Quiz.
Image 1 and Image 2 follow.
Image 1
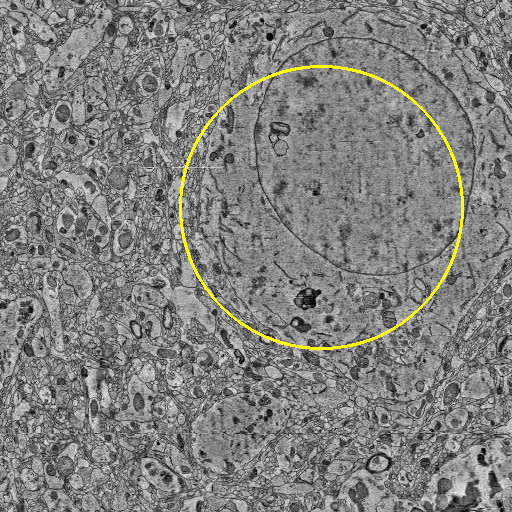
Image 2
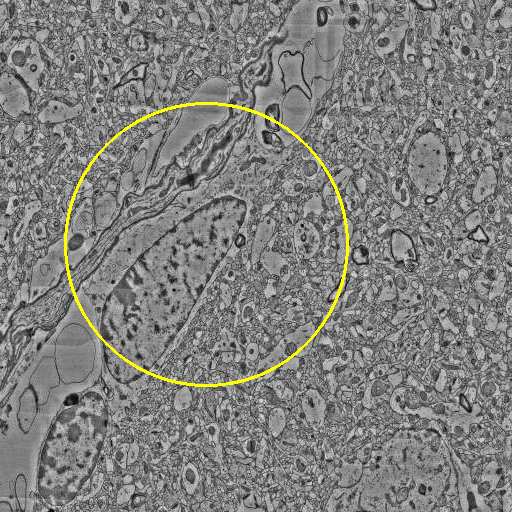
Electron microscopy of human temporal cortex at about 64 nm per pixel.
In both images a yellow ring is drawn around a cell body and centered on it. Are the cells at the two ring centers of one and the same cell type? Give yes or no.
no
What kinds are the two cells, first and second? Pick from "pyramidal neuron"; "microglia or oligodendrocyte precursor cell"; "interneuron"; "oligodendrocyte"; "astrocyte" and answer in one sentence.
The second picture holds a microglial cell or oligodendrocyte precursor cell in its ring, and the first holds a pyramidal neuron.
